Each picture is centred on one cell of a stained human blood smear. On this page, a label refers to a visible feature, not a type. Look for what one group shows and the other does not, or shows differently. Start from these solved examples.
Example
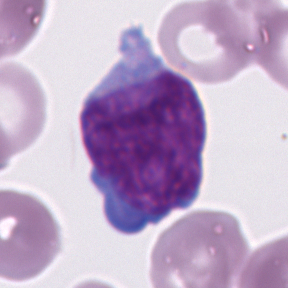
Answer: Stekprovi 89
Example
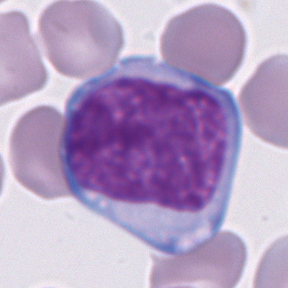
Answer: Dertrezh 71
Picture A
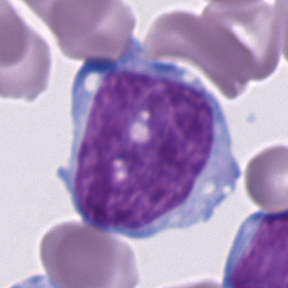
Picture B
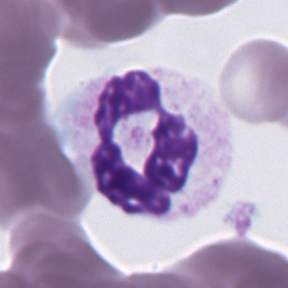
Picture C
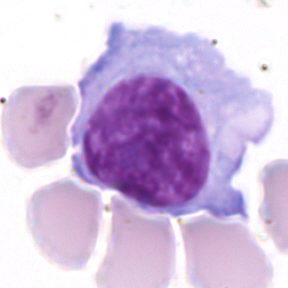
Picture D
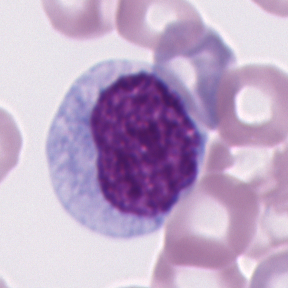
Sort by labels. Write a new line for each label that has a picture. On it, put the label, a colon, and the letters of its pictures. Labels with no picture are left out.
Stekprovi 89: A, C
Dertrezh 71: B, D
